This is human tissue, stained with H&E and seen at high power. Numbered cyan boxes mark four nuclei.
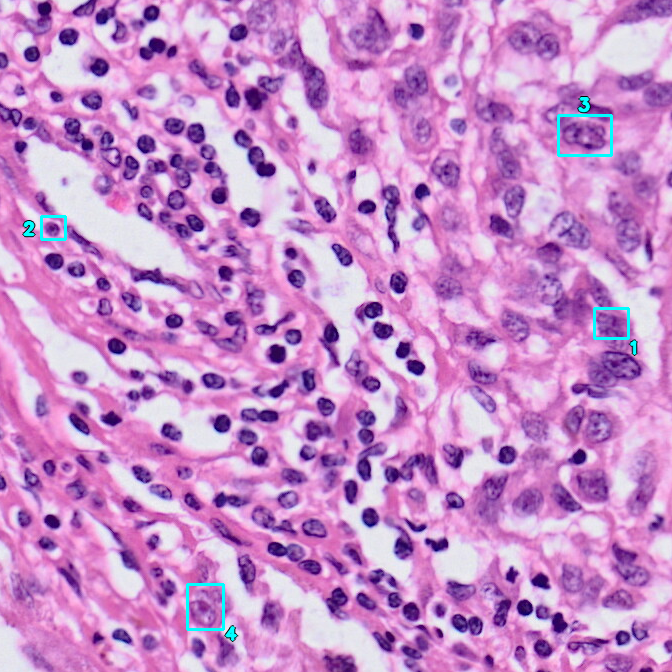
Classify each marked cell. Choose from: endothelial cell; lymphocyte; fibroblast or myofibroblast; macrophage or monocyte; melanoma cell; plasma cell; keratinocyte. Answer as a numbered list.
1. melanoma cell
2. lymphocyte
3. melanoma cell
4. melanoma cell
